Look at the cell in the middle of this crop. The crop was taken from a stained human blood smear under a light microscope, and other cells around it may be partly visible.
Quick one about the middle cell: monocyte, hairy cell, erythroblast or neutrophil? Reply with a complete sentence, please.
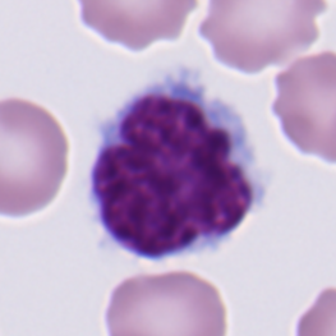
In the central position of this crop, the cell is a hairy cell.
